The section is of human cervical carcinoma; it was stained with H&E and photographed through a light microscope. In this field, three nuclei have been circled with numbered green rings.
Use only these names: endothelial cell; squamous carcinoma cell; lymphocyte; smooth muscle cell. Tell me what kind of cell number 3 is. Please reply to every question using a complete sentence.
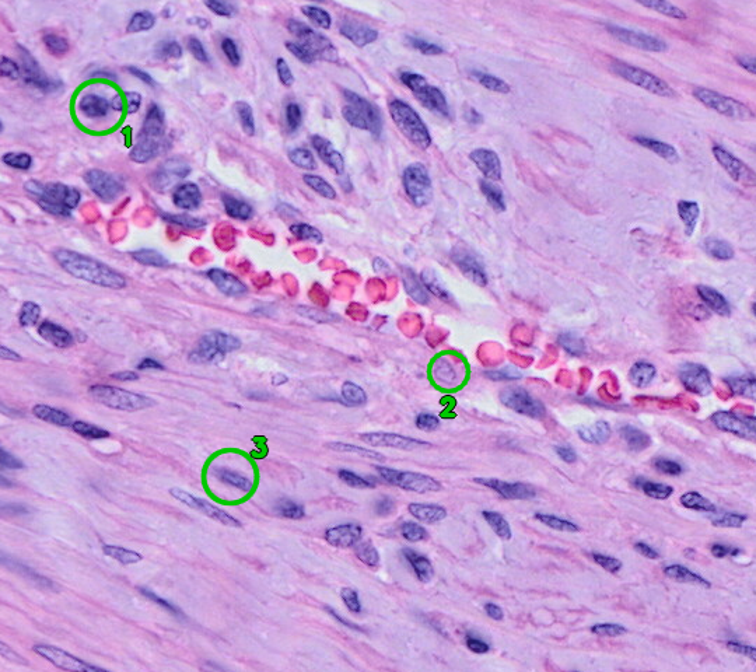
Among the marked cells, number 3 is a smooth muscle cell.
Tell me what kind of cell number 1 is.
In this section, the cell numbered 1 is a lymphocyte.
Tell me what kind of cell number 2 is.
The correct label for cell 2 is an endothelial cell.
